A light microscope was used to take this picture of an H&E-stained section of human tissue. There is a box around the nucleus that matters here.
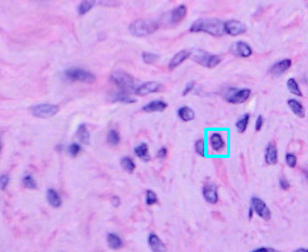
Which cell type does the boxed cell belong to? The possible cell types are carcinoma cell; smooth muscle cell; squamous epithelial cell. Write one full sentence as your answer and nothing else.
In the context of this tissue, the boxed cell is a smooth muscle cell.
